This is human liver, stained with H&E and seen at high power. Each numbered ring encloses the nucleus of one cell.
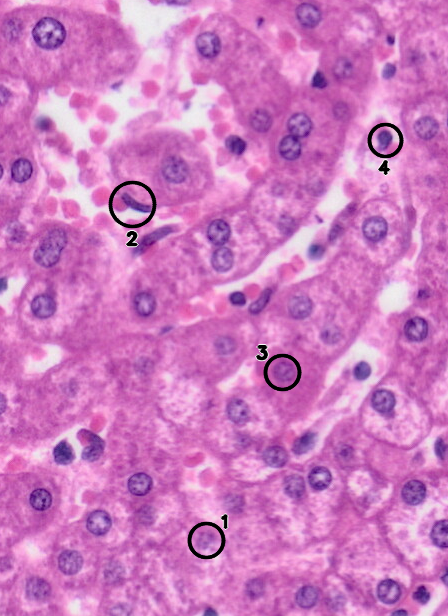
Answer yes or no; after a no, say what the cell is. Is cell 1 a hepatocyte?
Yes.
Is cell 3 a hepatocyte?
Yes.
